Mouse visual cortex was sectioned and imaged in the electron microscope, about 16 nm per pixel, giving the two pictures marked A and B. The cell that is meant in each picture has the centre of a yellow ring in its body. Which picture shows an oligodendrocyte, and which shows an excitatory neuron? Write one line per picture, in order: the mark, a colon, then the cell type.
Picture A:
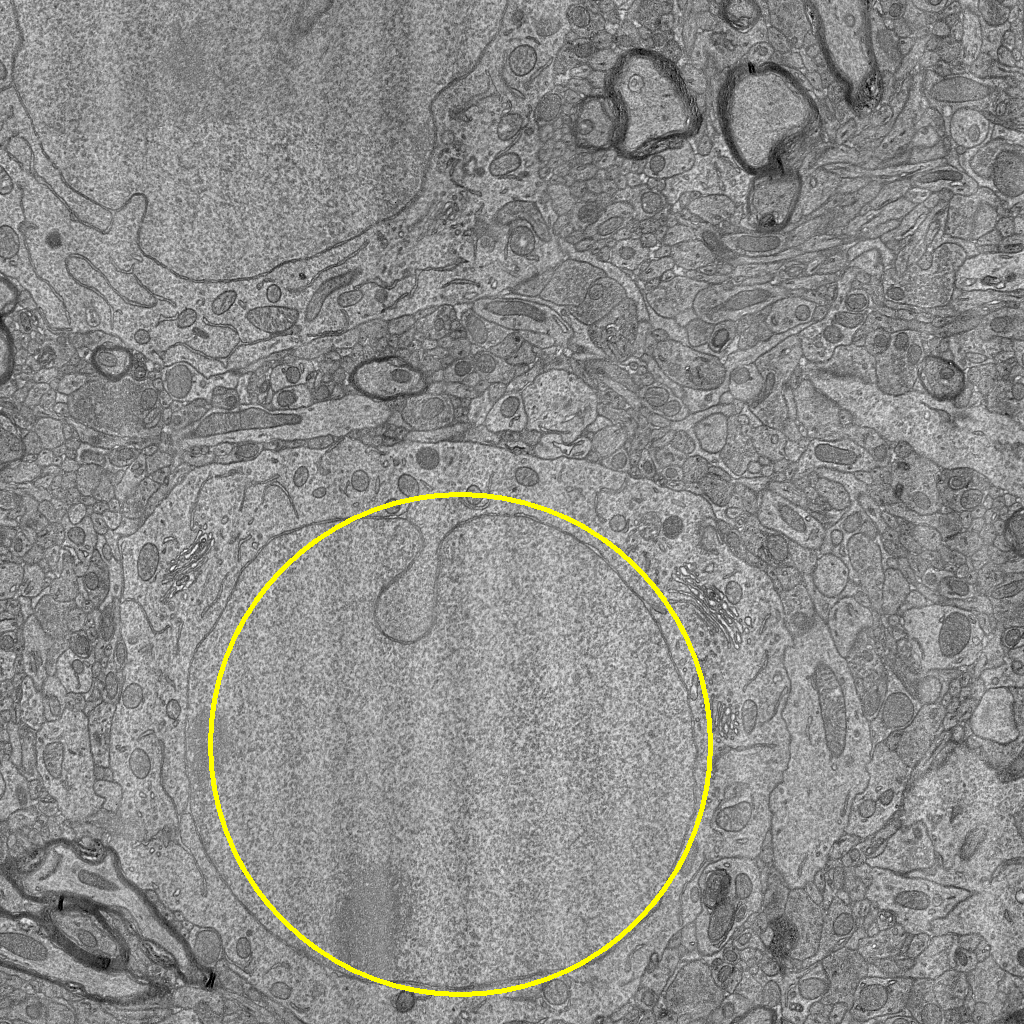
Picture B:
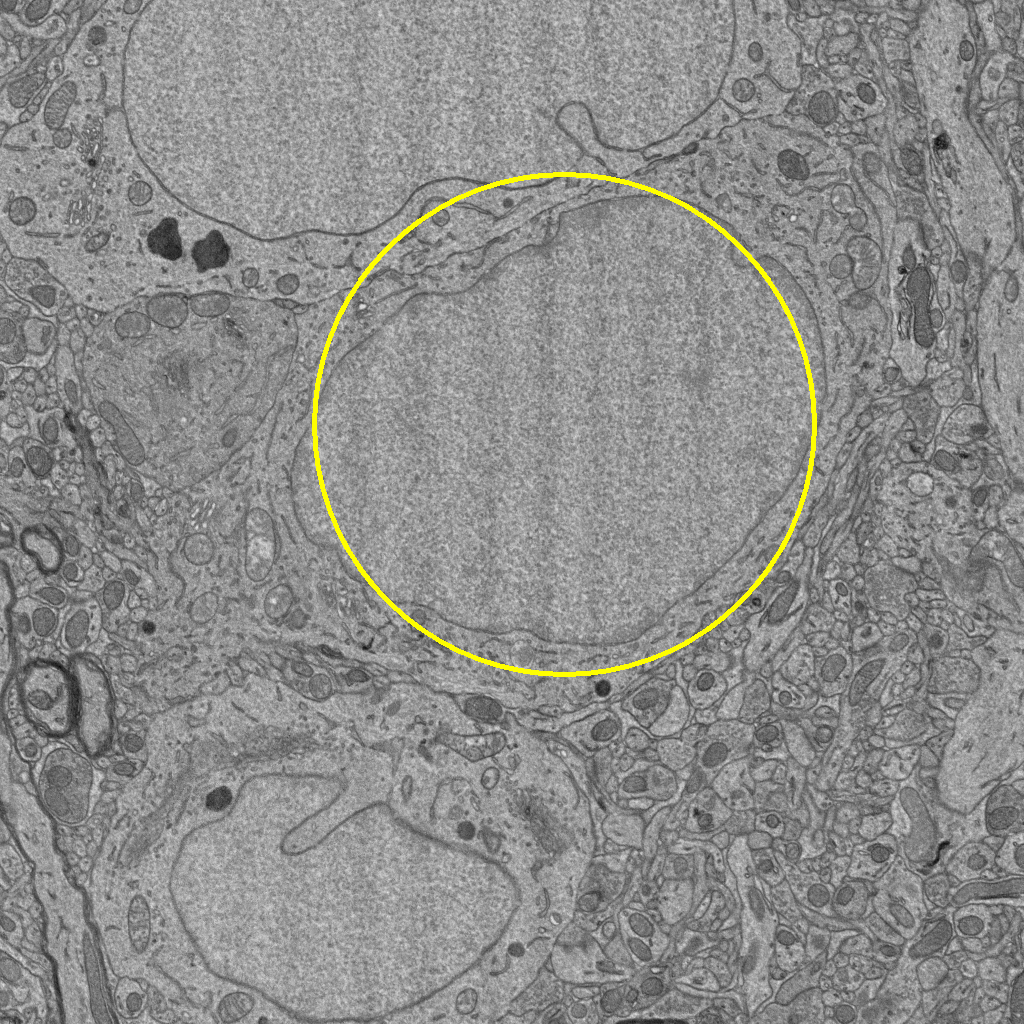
A: excitatory neuron
B: oligodendrocyte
